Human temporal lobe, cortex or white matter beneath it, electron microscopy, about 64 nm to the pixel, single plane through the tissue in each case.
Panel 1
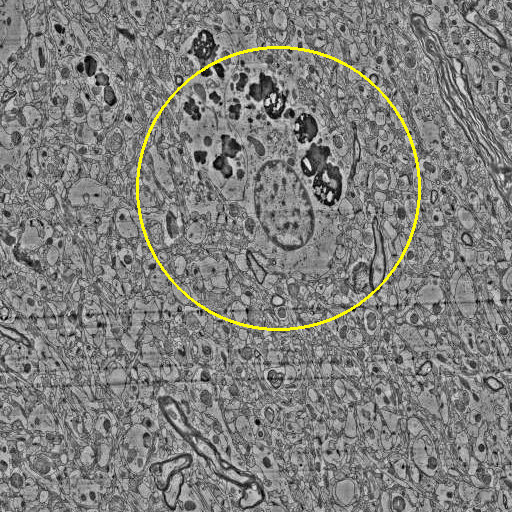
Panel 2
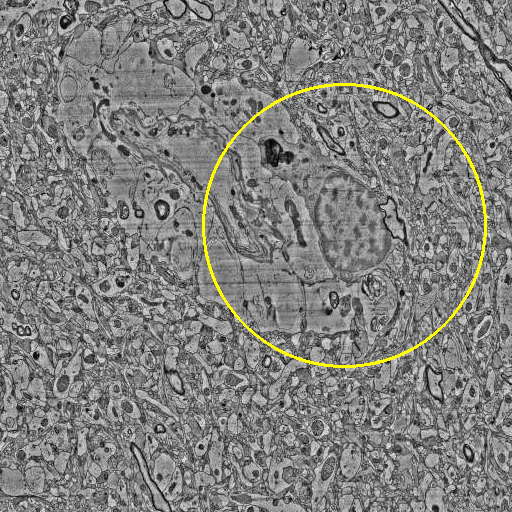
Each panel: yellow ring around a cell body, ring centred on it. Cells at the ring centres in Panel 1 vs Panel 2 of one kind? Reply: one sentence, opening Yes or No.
No, Panel 1 and Panel 2 have cells of two kinds at the ring centres.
